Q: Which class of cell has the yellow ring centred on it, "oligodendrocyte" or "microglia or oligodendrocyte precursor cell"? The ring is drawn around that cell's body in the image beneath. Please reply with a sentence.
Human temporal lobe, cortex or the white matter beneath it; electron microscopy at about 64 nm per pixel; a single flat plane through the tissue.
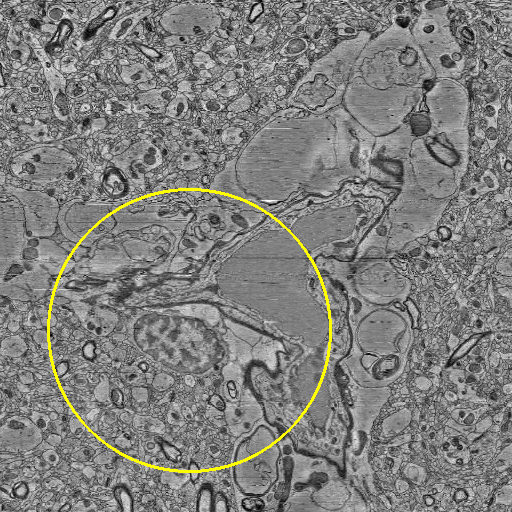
It is centred on an oligodendrocyte.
